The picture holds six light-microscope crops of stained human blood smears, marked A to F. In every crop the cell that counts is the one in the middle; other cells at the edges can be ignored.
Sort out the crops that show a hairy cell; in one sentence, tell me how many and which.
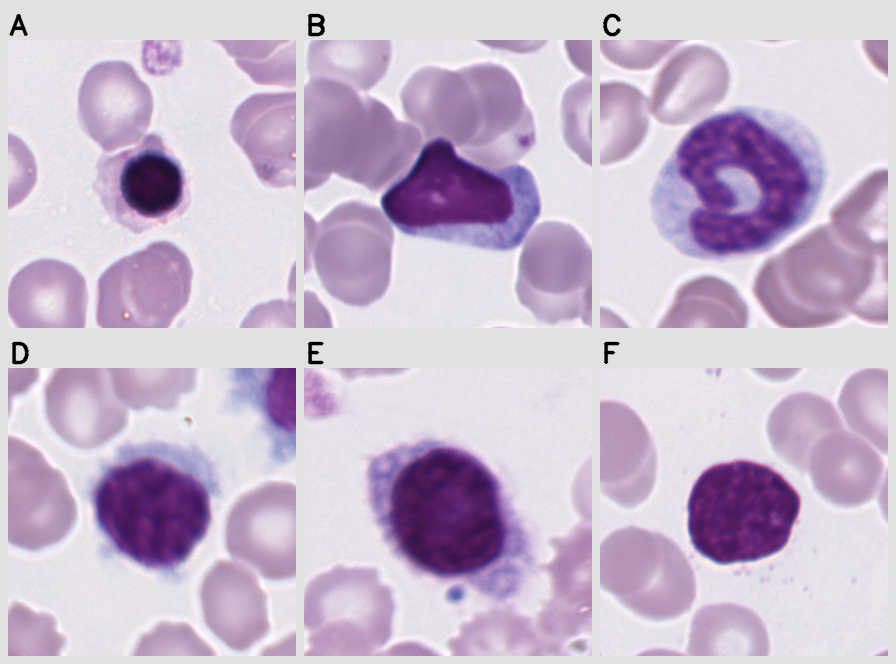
Crops D and E show hairy cells, making two in all.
